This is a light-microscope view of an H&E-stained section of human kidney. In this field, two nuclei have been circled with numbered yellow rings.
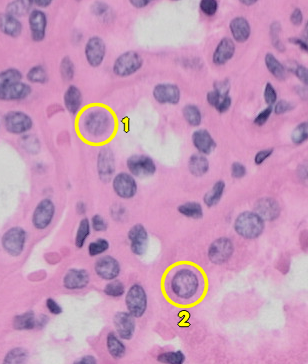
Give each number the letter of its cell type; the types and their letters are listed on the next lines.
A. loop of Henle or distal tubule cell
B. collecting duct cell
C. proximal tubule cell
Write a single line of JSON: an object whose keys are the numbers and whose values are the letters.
{"1": "B", "2": "C"}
